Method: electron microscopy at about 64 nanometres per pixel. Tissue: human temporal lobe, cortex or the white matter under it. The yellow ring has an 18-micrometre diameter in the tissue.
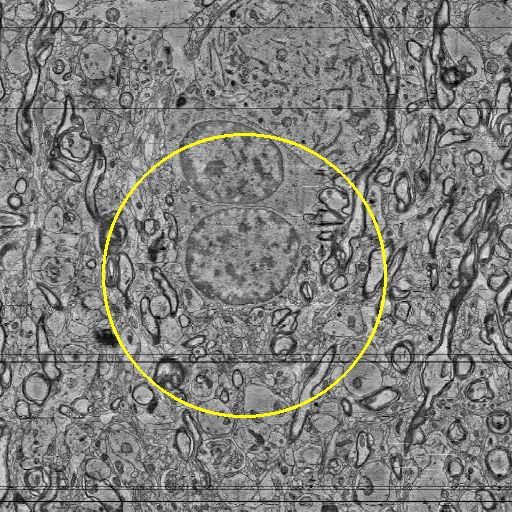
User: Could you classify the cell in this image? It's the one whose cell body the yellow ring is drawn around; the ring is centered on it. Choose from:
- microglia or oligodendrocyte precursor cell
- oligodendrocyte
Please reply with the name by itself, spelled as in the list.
oligodendrocyte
